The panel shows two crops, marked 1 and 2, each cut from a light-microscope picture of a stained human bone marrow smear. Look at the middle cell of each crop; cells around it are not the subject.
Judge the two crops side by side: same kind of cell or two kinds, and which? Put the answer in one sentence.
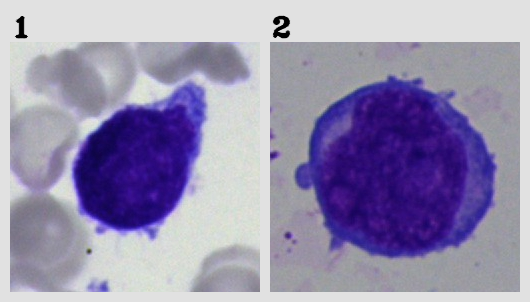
Yes, both crops, not just one, show blasts.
